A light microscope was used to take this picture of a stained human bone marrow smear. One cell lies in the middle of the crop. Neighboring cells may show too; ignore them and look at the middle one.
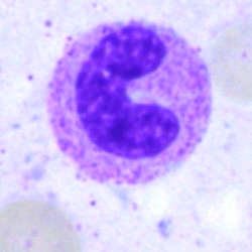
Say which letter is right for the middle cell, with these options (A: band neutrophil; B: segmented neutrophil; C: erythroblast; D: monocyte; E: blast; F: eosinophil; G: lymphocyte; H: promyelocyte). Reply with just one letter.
A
